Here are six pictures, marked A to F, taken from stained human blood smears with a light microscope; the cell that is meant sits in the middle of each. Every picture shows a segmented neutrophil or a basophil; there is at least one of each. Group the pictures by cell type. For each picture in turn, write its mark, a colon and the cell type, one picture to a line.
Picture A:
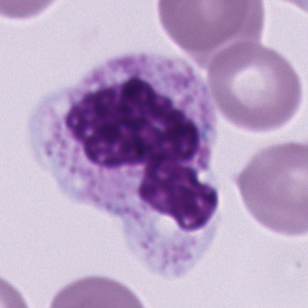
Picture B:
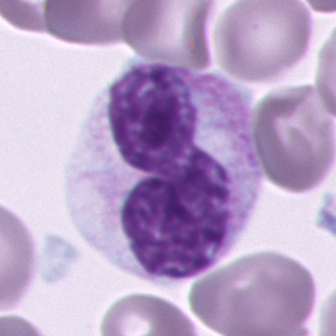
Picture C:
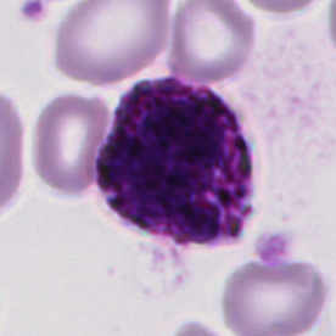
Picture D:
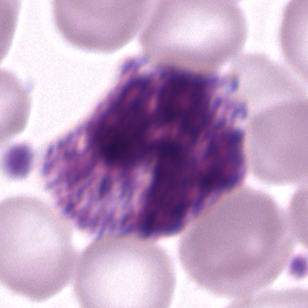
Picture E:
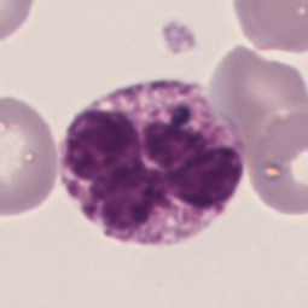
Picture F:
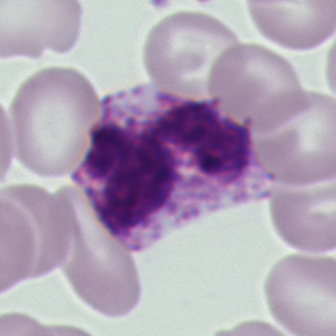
A: segmented neutrophil
B: segmented neutrophil
C: basophil
D: basophil
E: basophil
F: basophil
